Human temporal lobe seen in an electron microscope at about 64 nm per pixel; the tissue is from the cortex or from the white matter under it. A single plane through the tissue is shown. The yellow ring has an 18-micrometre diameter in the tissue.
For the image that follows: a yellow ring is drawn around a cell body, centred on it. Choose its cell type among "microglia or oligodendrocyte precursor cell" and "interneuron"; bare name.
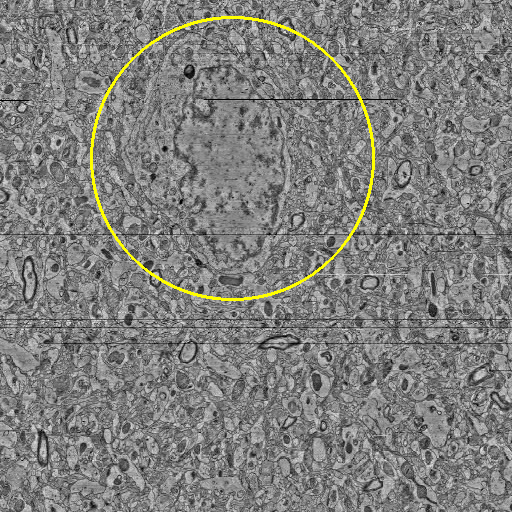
interneuron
